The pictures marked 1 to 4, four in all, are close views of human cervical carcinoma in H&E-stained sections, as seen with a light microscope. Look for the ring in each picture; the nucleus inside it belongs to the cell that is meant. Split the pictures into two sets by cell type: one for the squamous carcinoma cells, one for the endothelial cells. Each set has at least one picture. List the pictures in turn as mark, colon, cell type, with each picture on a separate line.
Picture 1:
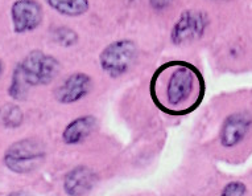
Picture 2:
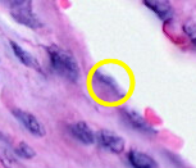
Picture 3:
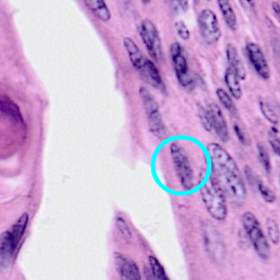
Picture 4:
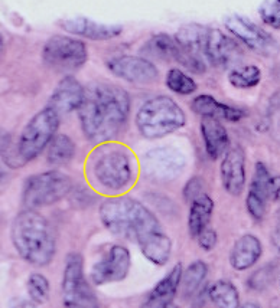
1: squamous carcinoma cell
2: endothelial cell
3: squamous carcinoma cell
4: squamous carcinoma cell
